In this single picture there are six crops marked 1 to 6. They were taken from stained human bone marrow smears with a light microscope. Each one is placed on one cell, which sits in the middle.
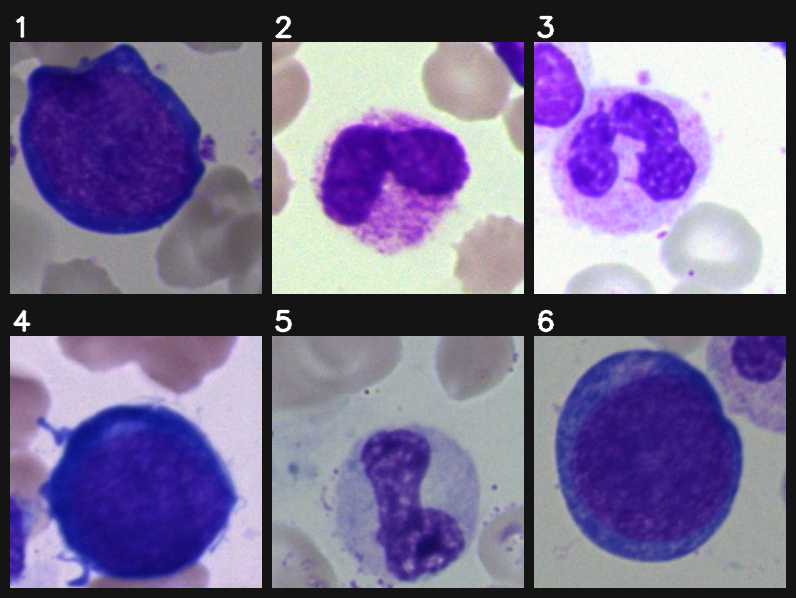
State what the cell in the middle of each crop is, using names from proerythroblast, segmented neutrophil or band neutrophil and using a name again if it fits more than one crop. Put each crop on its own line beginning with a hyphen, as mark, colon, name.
- 1: proerythroblast
- 2: band neutrophil
- 3: segmented neutrophil
- 4: proerythroblast
- 5: band neutrophil
- 6: proerythroblast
